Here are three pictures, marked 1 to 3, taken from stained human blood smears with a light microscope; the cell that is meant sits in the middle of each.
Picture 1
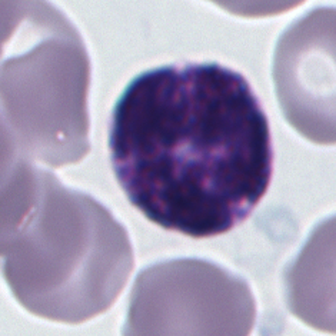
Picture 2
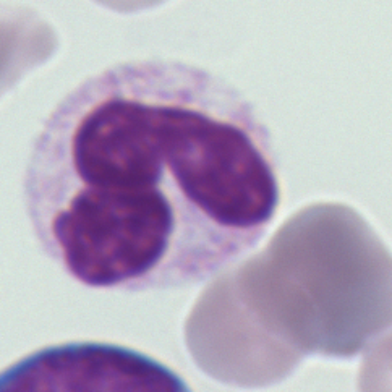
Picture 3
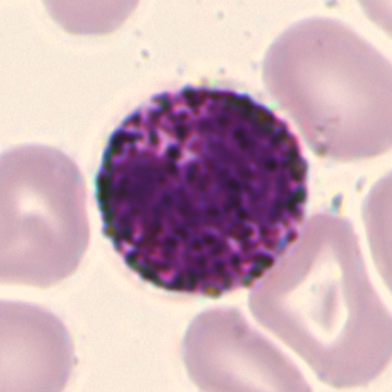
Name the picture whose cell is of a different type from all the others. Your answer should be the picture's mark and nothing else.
2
